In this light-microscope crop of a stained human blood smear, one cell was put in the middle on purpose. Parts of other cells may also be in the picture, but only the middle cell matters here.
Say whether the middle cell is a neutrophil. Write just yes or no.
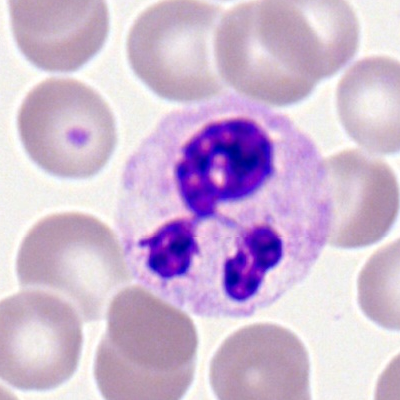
yes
